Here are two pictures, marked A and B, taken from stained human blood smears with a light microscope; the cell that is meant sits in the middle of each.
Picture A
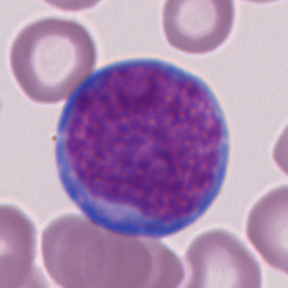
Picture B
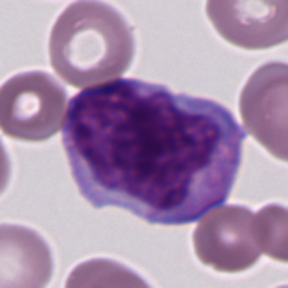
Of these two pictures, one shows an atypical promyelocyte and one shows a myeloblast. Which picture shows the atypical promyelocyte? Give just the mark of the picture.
B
